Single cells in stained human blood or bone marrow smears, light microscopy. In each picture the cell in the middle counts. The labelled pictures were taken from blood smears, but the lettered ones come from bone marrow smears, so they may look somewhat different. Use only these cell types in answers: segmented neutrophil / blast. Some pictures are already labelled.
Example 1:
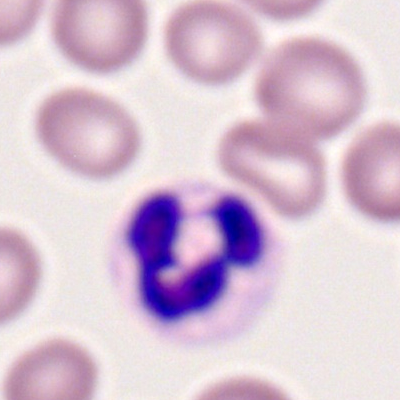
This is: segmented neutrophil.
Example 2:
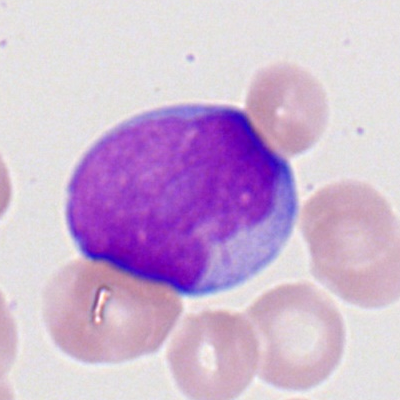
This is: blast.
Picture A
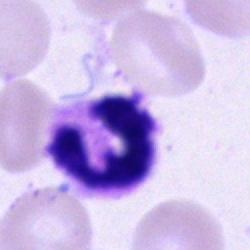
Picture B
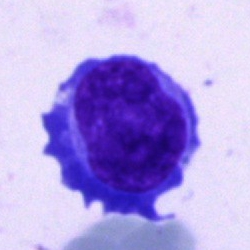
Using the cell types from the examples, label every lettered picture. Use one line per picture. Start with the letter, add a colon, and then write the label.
A: segmented neutrophil.
B: blast.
